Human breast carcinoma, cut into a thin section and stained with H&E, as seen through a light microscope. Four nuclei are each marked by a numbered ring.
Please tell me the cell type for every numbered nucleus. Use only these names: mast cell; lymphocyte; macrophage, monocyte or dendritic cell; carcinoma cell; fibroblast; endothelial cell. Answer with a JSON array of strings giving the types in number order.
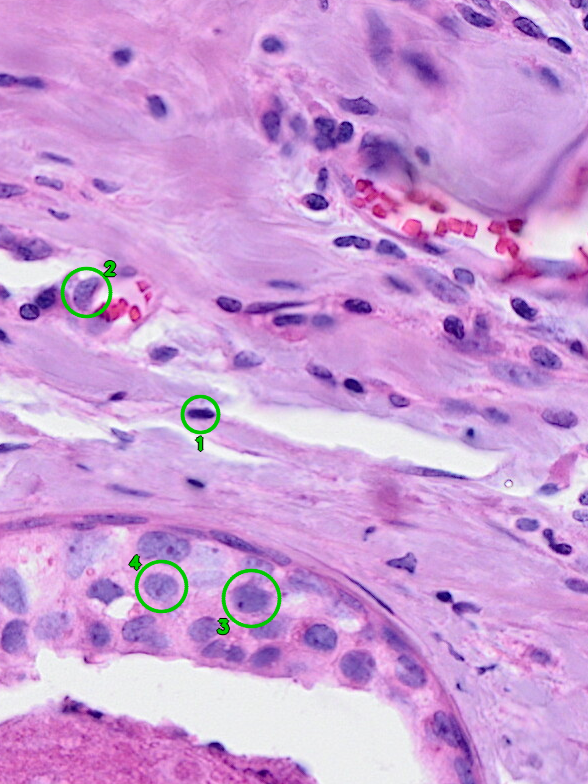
["lymphocyte", "endothelial cell", "carcinoma cell", "carcinoma cell"]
